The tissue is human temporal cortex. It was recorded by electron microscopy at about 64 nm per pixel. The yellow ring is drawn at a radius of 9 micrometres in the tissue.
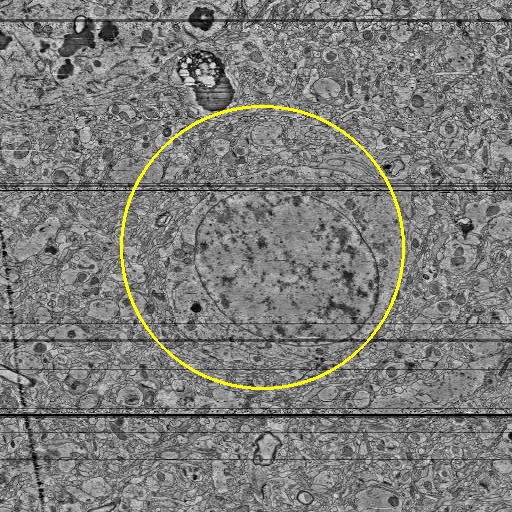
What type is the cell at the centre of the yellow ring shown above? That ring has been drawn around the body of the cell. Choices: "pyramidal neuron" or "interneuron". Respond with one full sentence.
My answer is that a pyramidal neuron lies at the centre of the yellow ring above.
